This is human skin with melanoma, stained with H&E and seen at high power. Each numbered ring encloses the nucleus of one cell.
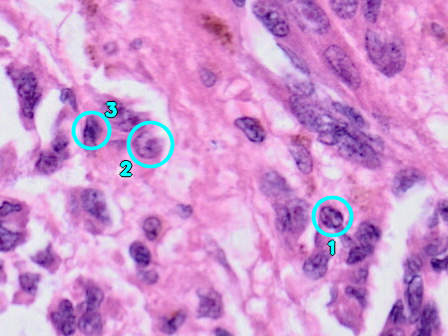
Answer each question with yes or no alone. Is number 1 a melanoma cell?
yes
